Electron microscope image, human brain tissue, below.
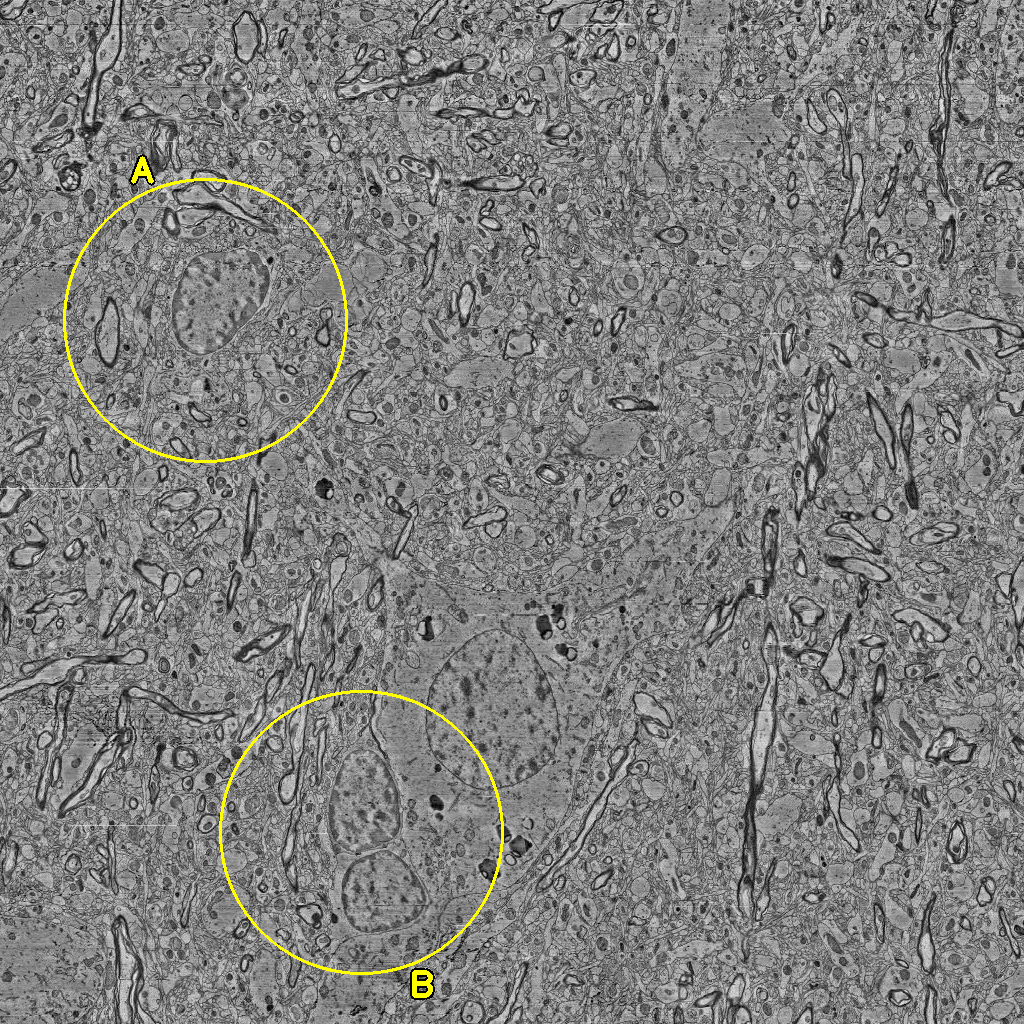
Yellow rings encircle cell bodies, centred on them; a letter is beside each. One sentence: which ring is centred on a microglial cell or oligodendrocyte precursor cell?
It is ring A.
